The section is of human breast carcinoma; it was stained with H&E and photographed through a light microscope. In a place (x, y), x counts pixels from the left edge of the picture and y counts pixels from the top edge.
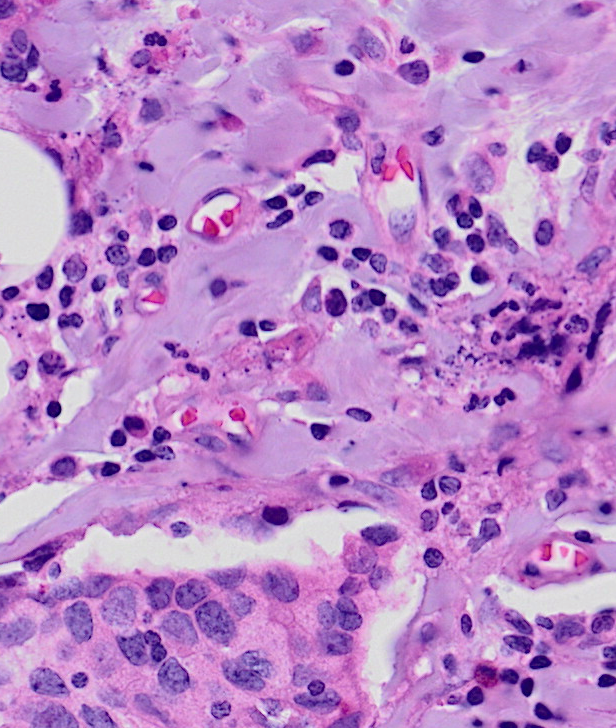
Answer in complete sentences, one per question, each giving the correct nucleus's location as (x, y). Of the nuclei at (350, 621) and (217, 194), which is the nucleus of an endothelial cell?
Rather than the other nucleus, the one at (217, 194) belongs to an endothelial cell.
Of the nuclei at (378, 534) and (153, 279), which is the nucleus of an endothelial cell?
The nucleus found at (153, 279) belongs to an endothelial cell.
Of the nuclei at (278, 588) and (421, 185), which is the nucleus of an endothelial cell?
Between the two nuclei, the one sitting at (421, 185) belongs to an endothelial cell.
